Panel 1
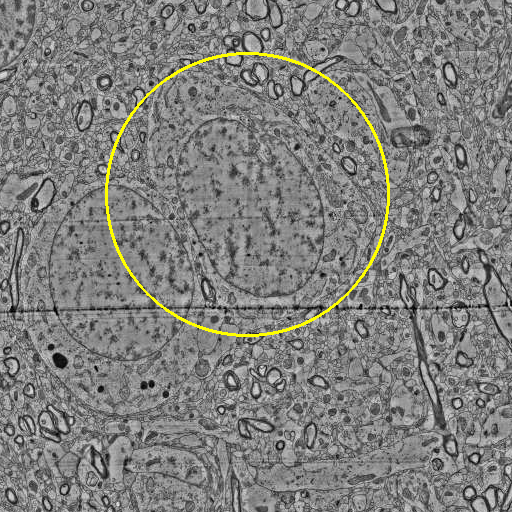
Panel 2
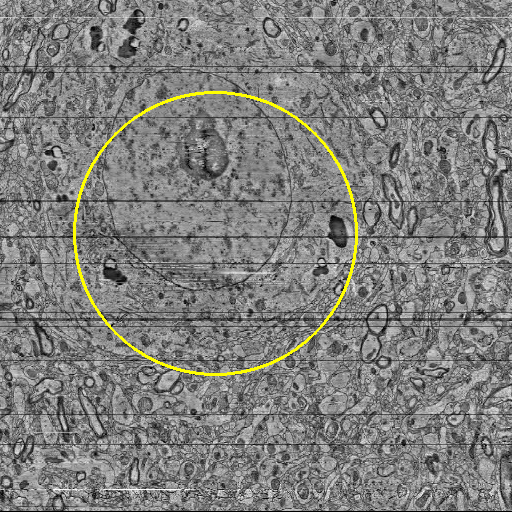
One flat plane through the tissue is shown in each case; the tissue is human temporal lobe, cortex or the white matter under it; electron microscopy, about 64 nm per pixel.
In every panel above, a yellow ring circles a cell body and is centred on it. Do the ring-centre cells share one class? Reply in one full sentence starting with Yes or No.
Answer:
Yes, the two cells at the ring centres in the panels belong to one class.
